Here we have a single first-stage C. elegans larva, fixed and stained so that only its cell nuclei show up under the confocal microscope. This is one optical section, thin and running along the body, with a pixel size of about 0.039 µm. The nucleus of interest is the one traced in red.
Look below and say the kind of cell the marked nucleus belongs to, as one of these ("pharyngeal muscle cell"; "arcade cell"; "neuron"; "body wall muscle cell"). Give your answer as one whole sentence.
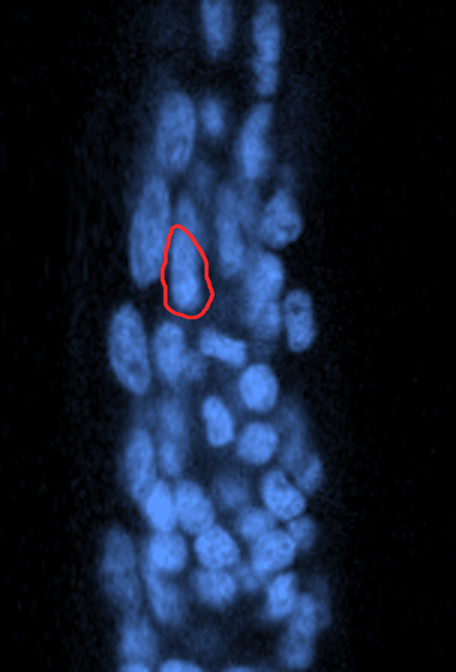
This nucleus is from an arcade cell.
